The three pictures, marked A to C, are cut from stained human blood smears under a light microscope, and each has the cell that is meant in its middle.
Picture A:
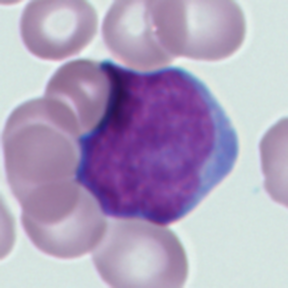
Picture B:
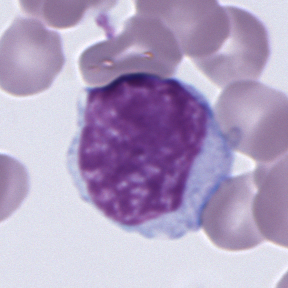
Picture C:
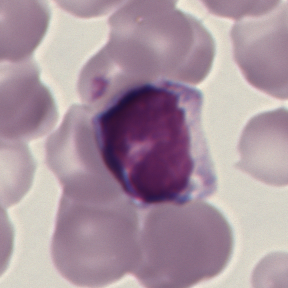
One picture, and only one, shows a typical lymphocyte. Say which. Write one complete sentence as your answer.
The cell in picture C is the typical lymphocyte.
